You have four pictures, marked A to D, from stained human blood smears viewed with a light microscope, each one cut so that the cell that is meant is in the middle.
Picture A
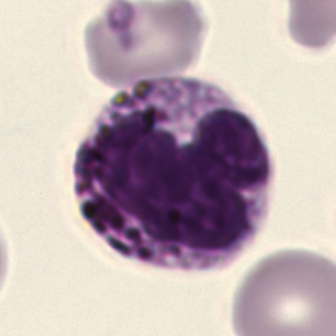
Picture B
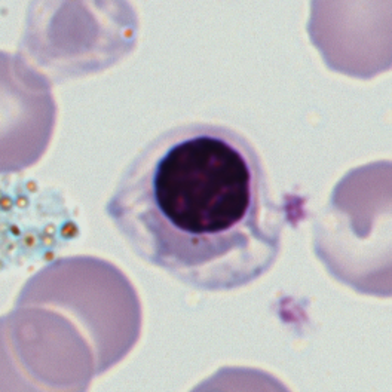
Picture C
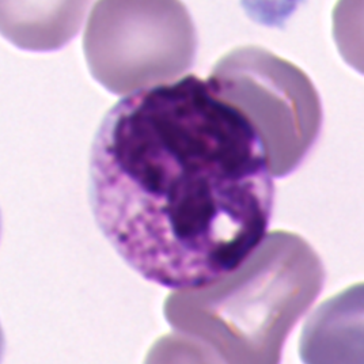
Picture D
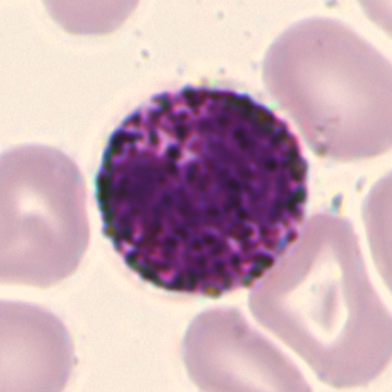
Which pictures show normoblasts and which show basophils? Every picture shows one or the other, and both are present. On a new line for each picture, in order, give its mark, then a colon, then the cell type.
A: basophil
B: normoblast
C: basophil
D: basophil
